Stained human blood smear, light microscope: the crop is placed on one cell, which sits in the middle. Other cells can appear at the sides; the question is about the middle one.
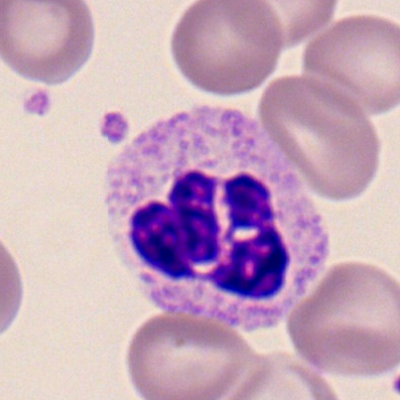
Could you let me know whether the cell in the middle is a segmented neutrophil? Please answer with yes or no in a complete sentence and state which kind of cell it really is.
Yes, the cell found at the centre of the crop is a segmented neutrophil.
